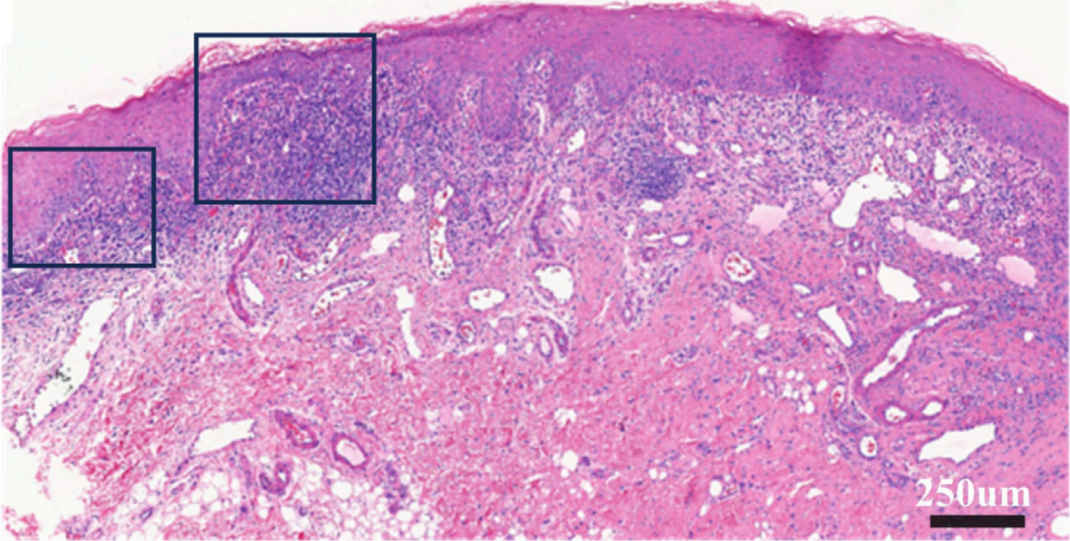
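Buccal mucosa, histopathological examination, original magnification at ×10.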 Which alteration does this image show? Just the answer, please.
Chronic inflammation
